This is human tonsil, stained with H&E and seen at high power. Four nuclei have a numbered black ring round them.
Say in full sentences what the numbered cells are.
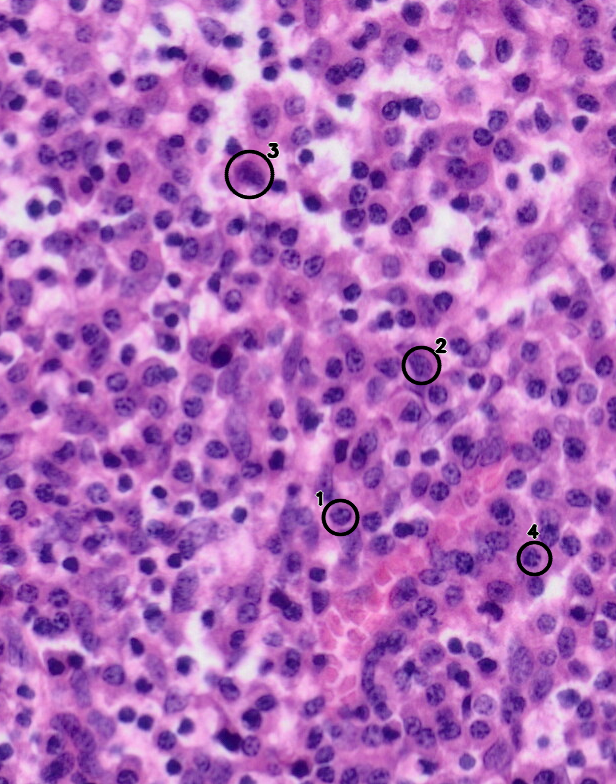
Cell 1 is a plasma cell, cell 2 is a plasma cell, cell 3 is a squamous epithelial cell and cell 4 is a plasma cell.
